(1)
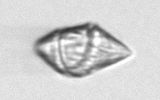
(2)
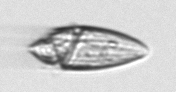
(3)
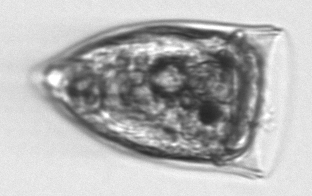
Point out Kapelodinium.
That is picture 2.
